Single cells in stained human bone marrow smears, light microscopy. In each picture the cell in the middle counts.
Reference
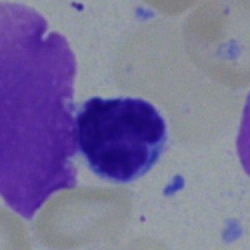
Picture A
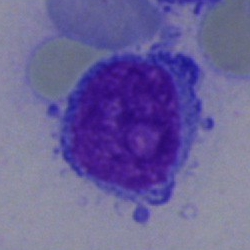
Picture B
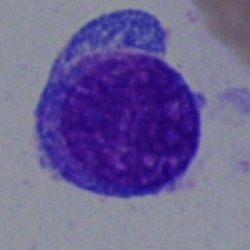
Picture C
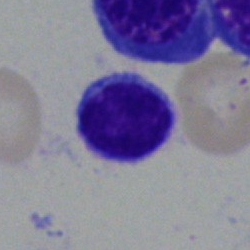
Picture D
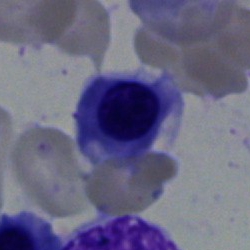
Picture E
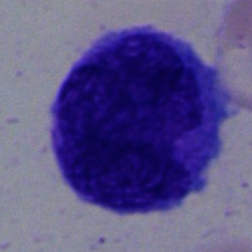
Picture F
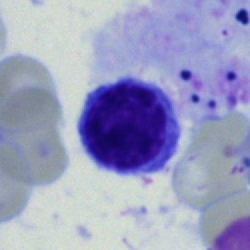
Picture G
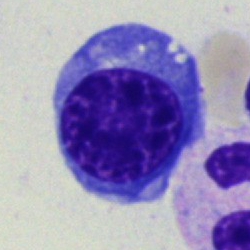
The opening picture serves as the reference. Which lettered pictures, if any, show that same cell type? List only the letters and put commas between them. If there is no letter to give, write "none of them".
A, C, F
